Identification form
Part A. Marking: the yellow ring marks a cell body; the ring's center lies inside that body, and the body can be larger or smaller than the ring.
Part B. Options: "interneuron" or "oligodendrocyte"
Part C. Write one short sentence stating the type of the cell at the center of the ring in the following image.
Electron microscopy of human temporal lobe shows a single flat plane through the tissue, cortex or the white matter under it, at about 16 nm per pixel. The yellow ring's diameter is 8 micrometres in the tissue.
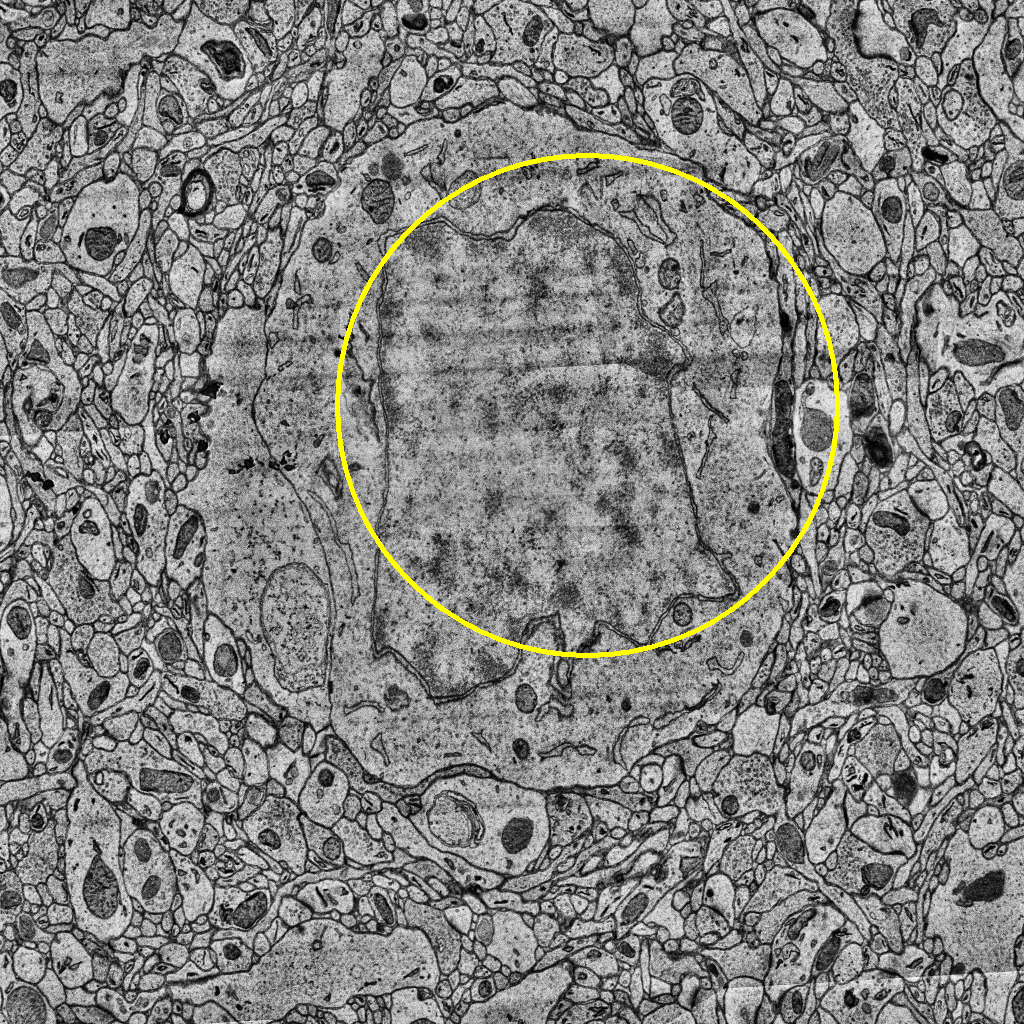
The center of the ring holds an interneuron.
